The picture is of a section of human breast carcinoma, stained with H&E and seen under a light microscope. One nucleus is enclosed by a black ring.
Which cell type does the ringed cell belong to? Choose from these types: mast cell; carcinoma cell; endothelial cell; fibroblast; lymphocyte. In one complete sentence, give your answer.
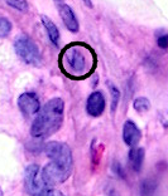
By its classification, the ringed cell is an endothelial cell.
